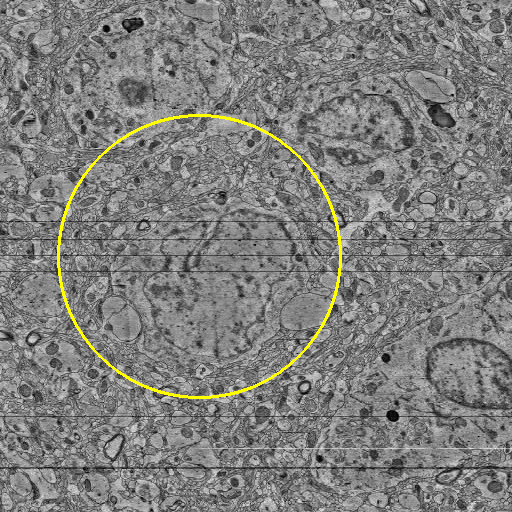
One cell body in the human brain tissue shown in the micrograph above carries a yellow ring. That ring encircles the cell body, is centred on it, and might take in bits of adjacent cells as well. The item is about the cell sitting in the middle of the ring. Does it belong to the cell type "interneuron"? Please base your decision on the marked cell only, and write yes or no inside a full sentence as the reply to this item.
Yes, the cell at the middle of the ring in the micrograph is of this kind.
